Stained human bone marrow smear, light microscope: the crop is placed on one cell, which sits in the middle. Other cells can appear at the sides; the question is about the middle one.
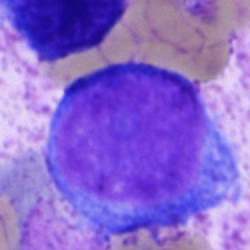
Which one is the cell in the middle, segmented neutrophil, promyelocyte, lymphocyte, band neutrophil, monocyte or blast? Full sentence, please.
Whatever else lies nearby, the middle cell is a blast.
